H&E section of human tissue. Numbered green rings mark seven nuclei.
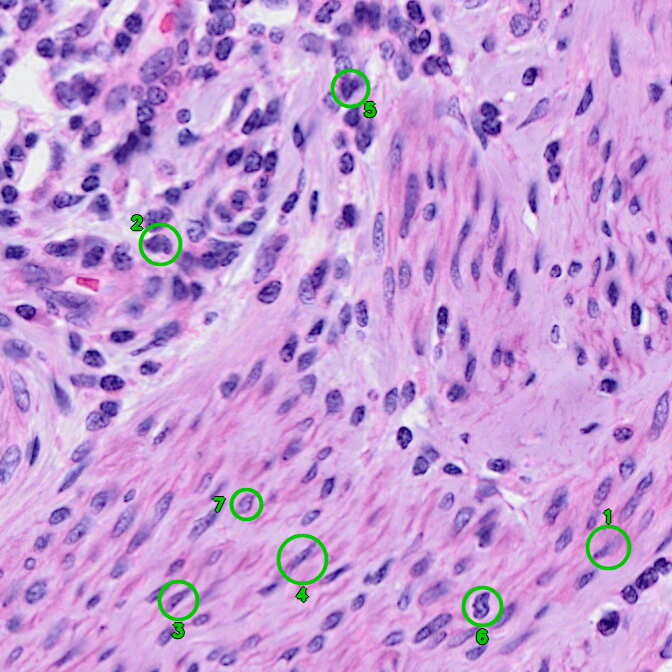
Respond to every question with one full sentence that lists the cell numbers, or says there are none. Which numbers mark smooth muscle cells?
The cells that have numbers 1, 3, 4 and 7 are smooth muscle cells.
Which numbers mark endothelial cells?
The numbered cells, taken together, include no endothelial cells.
